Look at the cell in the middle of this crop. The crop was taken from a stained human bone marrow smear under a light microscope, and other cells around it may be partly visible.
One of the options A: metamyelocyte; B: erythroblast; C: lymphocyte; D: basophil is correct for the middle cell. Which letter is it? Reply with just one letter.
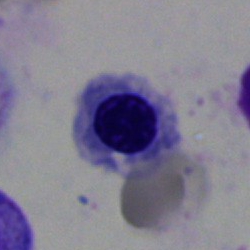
B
